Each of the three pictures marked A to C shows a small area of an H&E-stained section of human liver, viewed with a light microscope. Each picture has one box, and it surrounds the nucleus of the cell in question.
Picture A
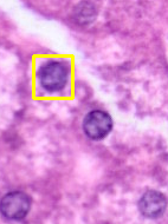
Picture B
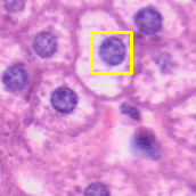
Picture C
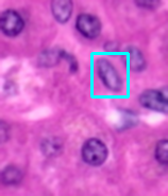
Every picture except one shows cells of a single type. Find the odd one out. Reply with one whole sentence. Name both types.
Picture C differs, because its cell is a cholangiocyte and the rest are hepatocytes.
